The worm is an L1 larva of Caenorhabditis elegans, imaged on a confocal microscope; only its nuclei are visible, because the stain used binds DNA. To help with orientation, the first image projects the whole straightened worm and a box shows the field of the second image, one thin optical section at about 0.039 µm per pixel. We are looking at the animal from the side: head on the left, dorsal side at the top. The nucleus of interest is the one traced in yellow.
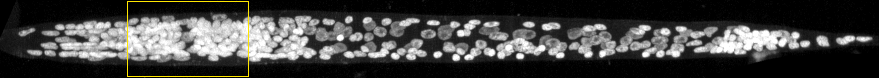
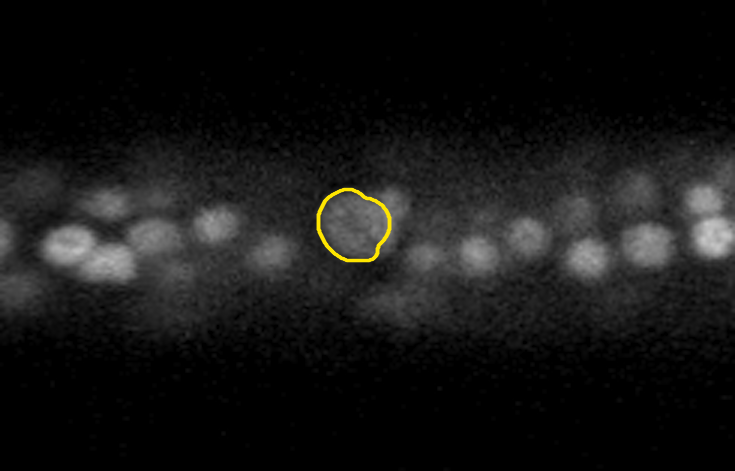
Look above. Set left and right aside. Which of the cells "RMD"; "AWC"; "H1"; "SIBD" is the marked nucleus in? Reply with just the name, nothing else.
H1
